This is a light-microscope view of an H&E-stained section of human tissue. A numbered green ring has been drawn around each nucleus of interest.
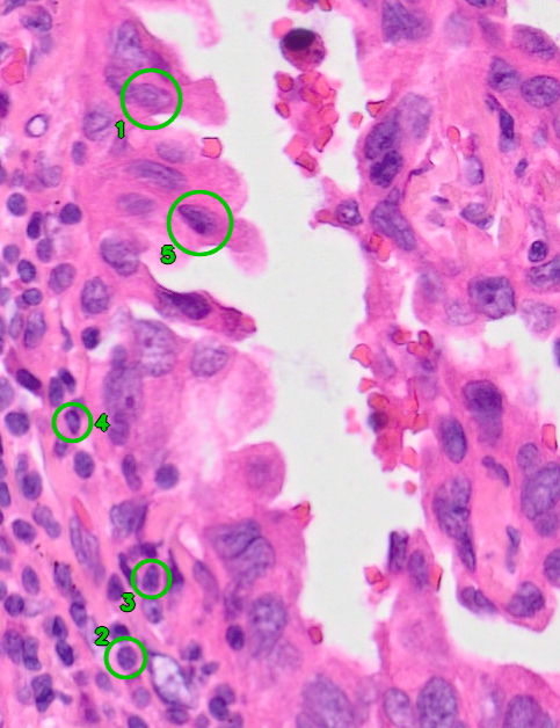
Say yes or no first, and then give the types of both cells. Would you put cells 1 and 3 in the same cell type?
No, with respect, cell 1 is a carcinoma cell and cell 3 is a lymphocyte.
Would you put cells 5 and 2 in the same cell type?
No, unlike cell 5, which is a carcinoma cell, cell 2 is a lymphocyte.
